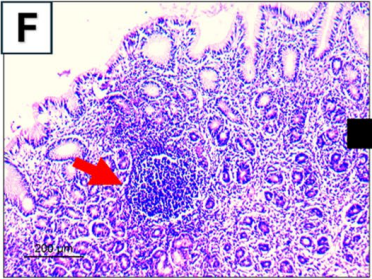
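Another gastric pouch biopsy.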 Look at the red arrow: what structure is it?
Lymphoid follicle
